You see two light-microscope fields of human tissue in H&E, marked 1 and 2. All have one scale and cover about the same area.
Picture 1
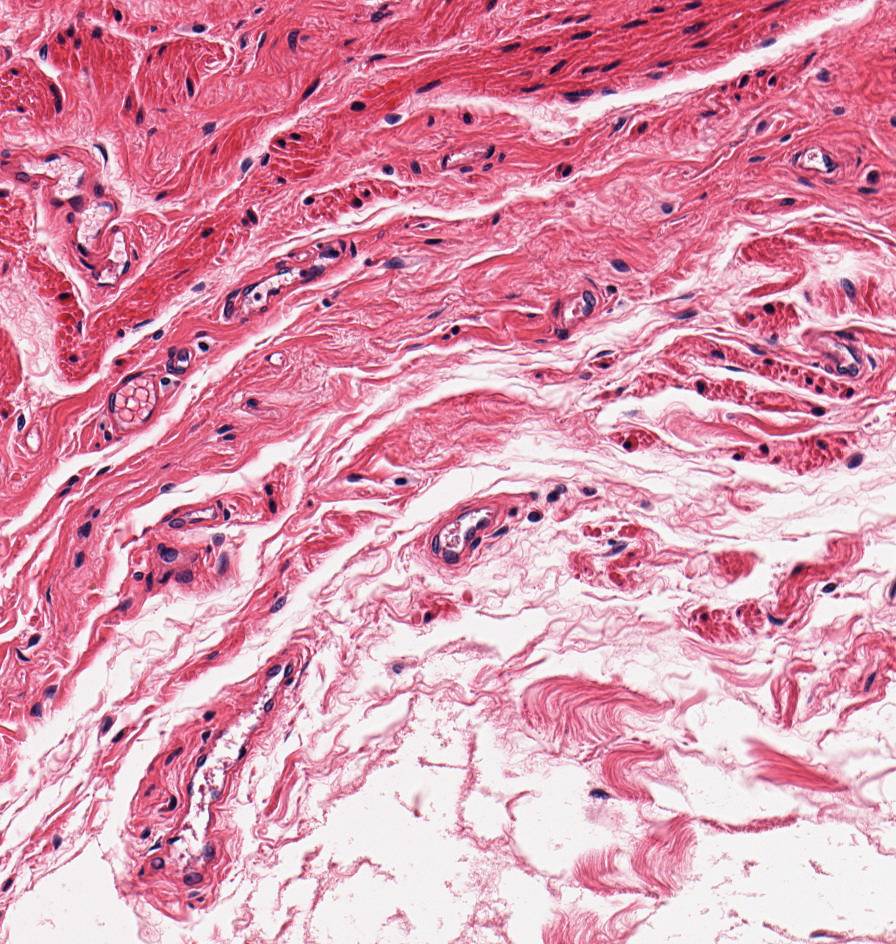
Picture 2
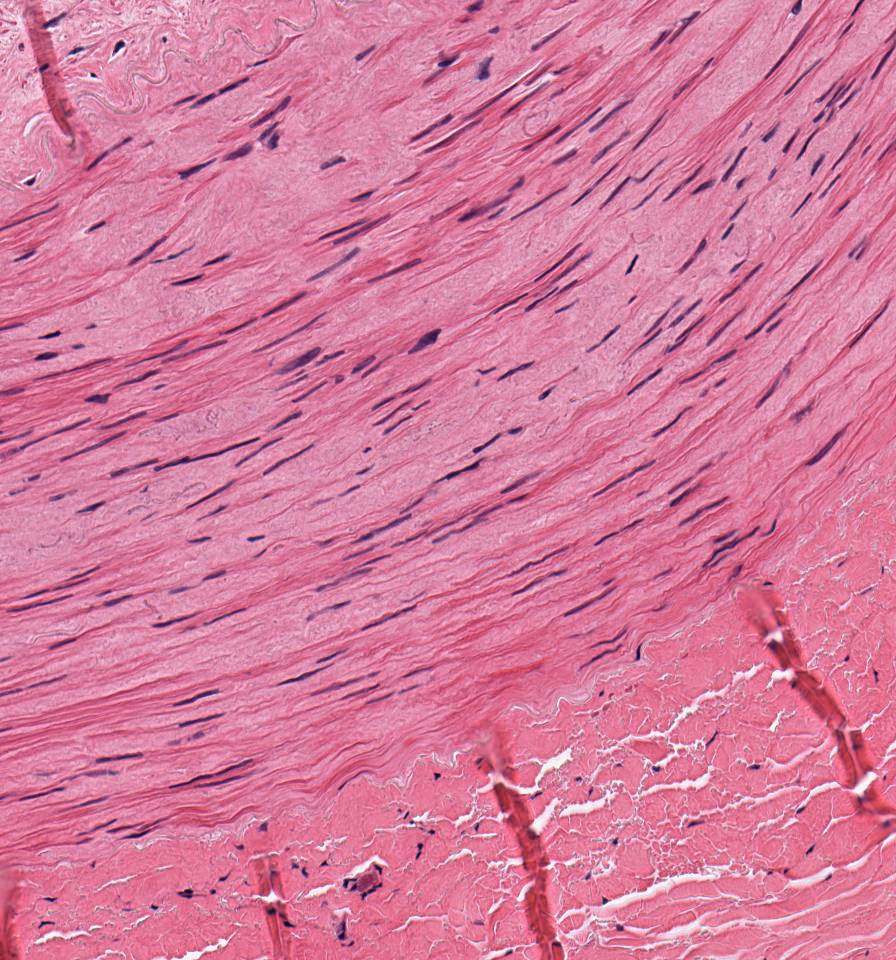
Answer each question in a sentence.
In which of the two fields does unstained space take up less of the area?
It is picture 2 that stained tissue fills more completely.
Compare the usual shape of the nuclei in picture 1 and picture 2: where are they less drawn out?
Rounder nuclei lie in picture 1.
